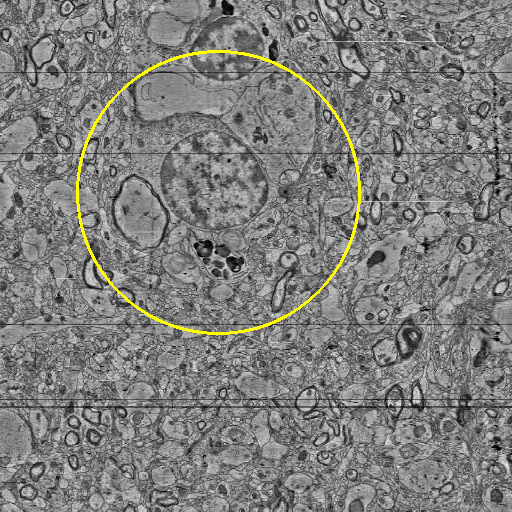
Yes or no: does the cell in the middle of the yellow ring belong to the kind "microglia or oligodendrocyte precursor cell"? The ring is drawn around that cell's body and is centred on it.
no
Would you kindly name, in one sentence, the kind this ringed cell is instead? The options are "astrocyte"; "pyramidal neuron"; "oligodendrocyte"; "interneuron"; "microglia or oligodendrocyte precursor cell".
The cell enclosed by the ring is an oligodendrocyte.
